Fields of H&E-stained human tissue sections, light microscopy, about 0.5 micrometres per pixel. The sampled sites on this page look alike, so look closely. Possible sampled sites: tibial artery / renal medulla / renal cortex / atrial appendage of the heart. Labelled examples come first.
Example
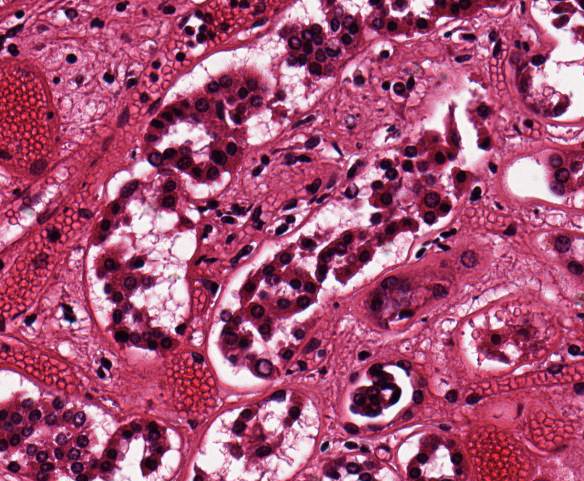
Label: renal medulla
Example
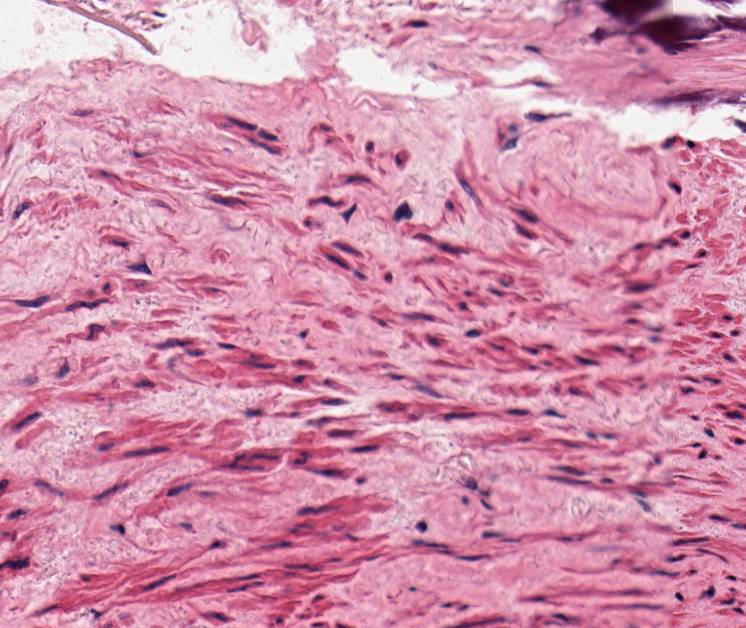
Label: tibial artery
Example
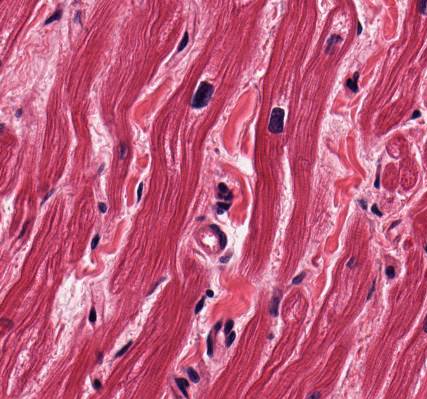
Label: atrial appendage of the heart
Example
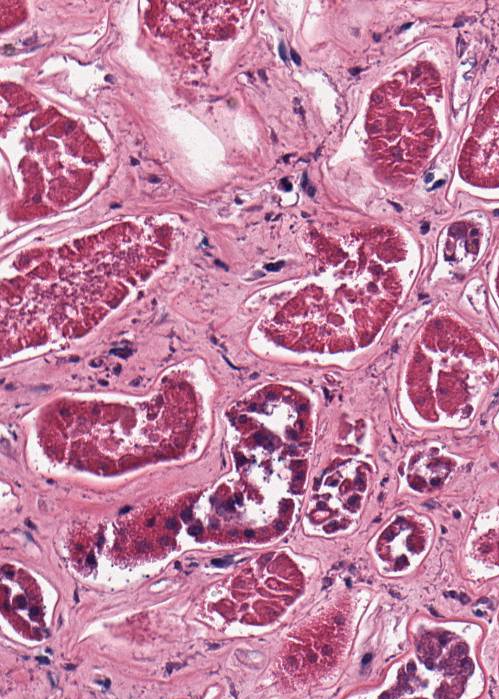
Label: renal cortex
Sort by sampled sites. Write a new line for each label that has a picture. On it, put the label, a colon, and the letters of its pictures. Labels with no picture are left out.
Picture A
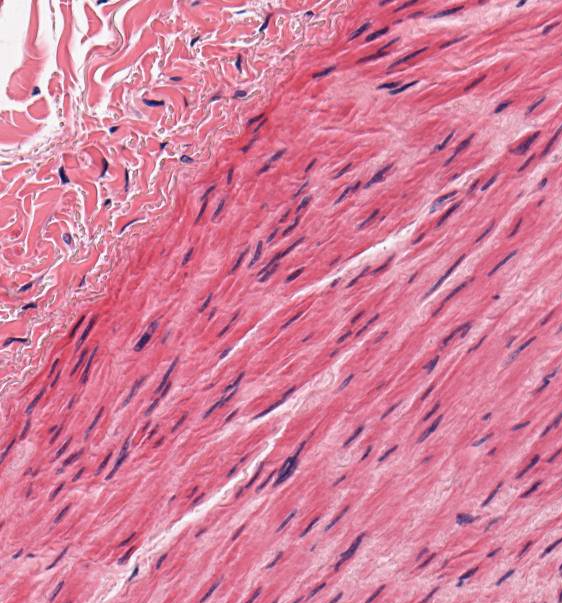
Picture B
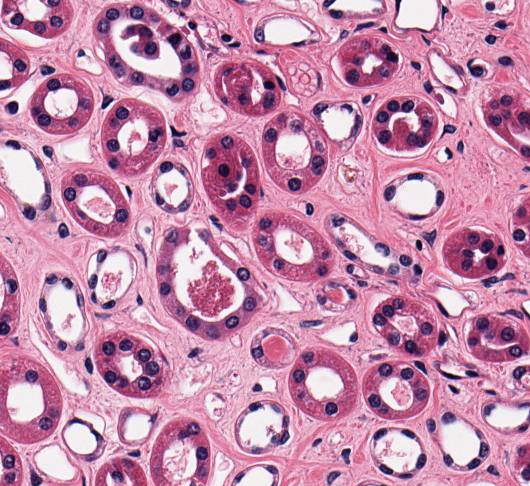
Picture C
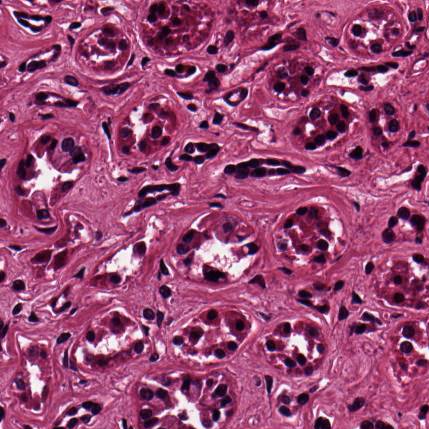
tibial artery: A
renal medulla: B, C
